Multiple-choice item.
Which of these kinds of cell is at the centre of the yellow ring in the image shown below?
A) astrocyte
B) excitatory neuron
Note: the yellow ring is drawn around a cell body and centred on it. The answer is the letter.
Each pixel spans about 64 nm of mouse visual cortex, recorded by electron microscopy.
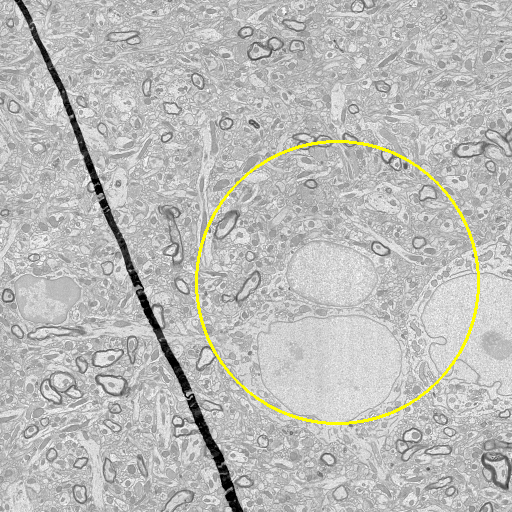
A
